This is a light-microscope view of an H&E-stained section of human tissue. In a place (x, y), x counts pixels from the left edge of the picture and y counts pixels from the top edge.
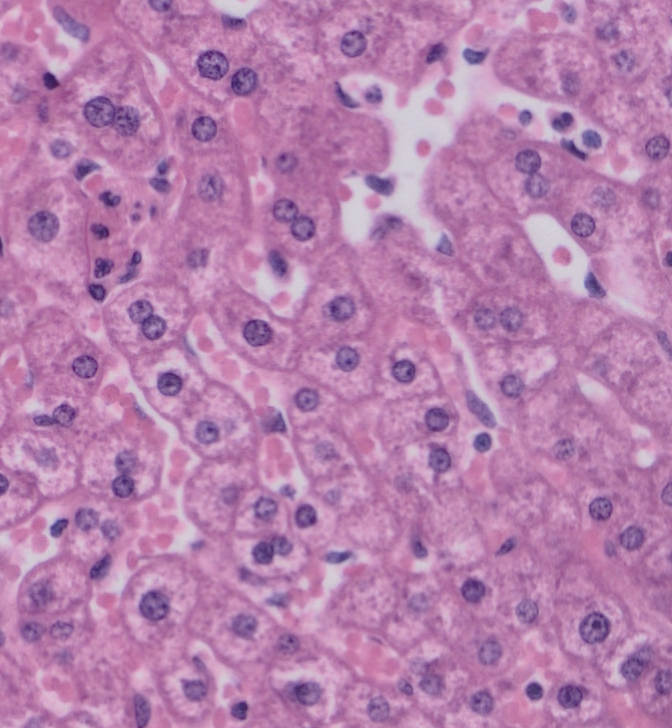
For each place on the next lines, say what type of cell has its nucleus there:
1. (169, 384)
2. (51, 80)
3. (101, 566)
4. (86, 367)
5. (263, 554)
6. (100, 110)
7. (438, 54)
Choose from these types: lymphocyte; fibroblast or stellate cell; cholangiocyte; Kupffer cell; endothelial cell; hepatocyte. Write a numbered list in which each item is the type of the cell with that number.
1. hepatocyte
2. fibroblast or stellate cell
3. fibroblast or stellate cell
4. hepatocyte
5. hepatocyte
6. hepatocyte
7. fibroblast or stellate cell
